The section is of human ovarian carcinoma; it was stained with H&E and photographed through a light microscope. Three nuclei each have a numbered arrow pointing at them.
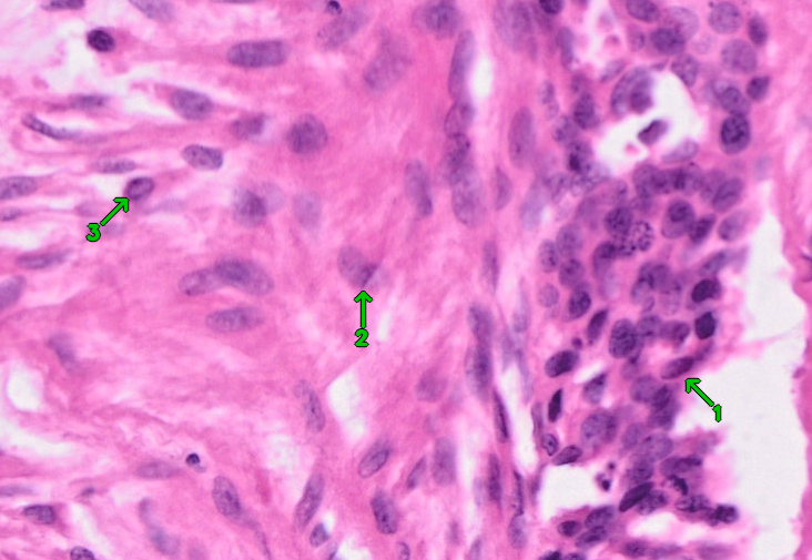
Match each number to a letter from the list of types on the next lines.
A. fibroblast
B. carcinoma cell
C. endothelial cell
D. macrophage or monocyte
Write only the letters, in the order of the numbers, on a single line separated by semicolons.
B; A; A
